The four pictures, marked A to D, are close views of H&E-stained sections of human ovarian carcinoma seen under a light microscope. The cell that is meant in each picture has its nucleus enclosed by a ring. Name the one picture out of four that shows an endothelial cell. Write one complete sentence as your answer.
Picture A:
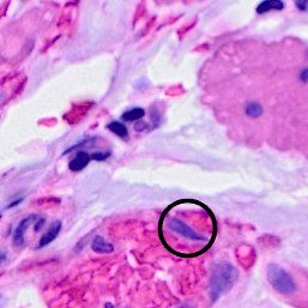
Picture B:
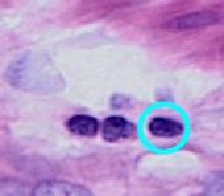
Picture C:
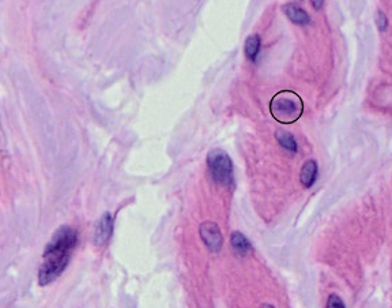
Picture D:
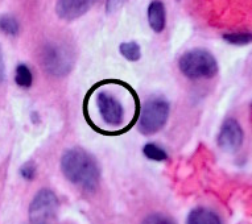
The cell in picture A is the endothelial cell.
